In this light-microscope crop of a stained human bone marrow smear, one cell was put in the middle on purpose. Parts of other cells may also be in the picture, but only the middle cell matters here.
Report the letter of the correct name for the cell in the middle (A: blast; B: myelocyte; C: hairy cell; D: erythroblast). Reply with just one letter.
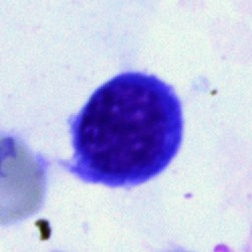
D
